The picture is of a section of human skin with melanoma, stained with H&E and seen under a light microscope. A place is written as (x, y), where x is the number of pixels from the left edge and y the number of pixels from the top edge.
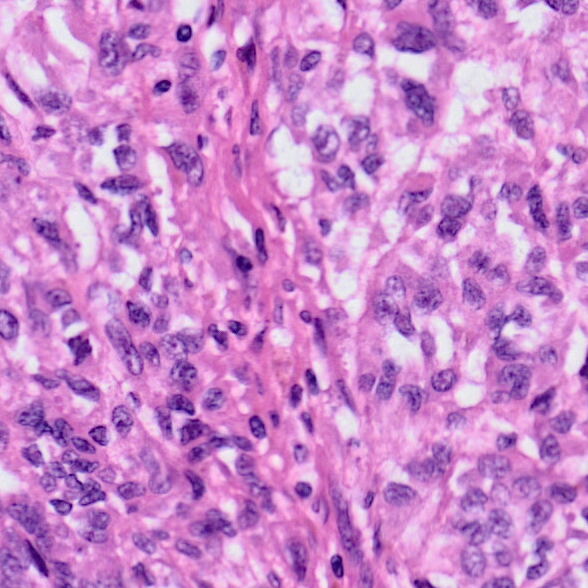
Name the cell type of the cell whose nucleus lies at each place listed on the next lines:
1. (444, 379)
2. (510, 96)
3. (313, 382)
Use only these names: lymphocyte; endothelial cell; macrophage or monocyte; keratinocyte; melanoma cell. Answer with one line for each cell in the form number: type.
1: melanoma cell
2: melanoma cell
3: lymphocyte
